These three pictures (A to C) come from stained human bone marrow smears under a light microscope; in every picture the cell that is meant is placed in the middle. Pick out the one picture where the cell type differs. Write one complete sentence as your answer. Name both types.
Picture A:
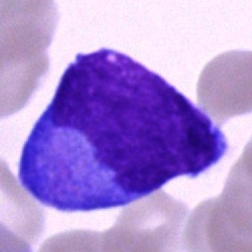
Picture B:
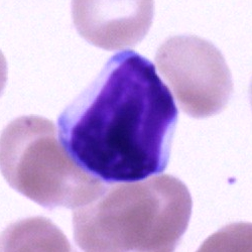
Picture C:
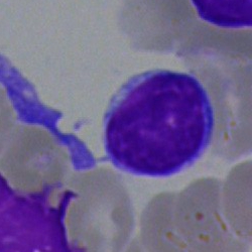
All pictures except A show lymphocytes; picture A shows a blast.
